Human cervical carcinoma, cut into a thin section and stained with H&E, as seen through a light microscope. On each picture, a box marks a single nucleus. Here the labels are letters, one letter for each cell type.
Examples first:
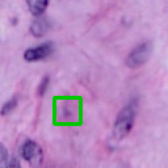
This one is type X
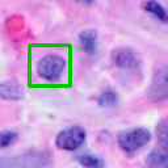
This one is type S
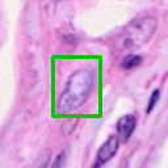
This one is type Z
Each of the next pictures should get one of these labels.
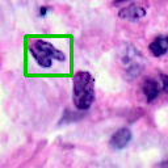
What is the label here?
type S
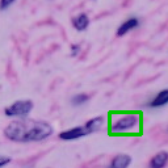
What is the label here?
type X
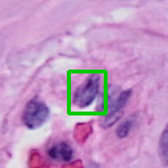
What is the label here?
type Z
